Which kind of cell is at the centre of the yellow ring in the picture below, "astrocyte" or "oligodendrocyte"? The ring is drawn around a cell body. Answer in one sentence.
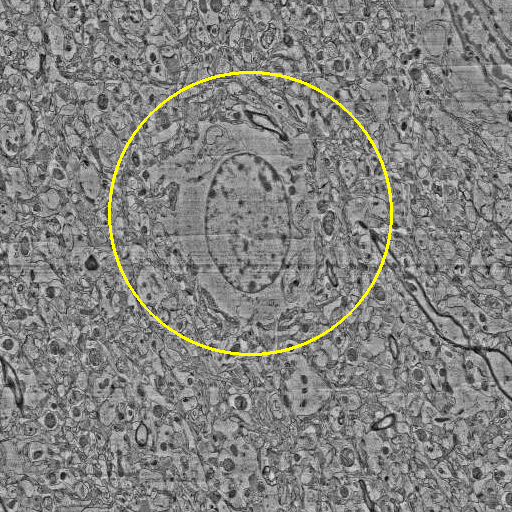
The ring's central cell is an astrocyte.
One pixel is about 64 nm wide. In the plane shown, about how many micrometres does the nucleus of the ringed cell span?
At approximately 9 by 6 micrometres, the nucleus is clearly longer than it is wide in this plane.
